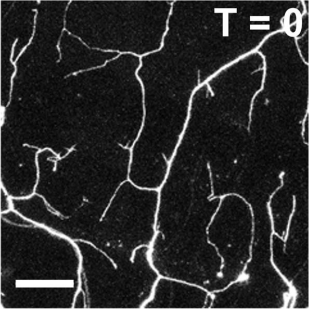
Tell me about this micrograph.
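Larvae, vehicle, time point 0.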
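Thicker branches run across the field and divide into thinner, shorter end branches, some of them wavy or looping. The branches are spread out and largely leave open spaces between them.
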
